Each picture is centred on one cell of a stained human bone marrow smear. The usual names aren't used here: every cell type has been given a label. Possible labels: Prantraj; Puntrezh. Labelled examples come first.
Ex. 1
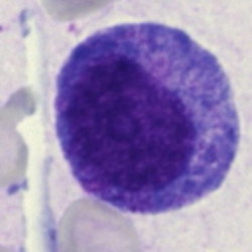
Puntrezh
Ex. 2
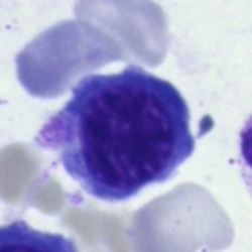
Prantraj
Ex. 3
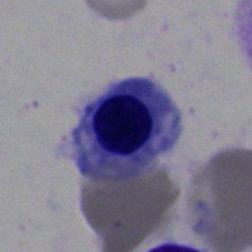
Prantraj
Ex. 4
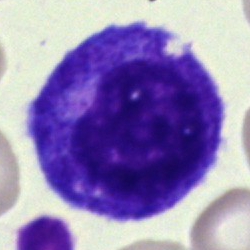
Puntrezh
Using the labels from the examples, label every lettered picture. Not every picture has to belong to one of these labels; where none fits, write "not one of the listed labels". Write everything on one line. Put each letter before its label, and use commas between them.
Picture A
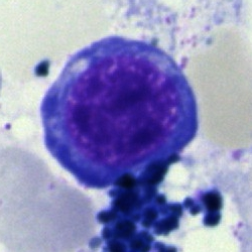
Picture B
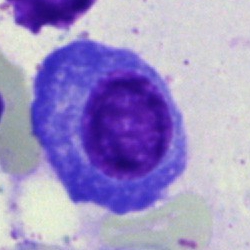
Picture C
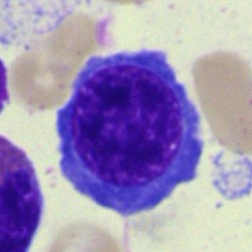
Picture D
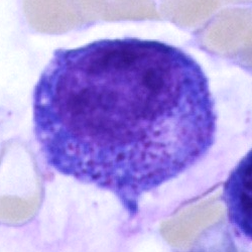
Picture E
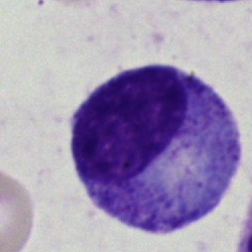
A Prantraj, B not one of the listed labels, C Prantraj, D Puntrezh, E Puntrezh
